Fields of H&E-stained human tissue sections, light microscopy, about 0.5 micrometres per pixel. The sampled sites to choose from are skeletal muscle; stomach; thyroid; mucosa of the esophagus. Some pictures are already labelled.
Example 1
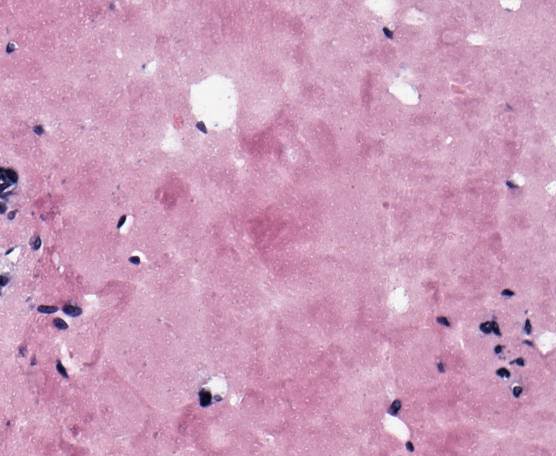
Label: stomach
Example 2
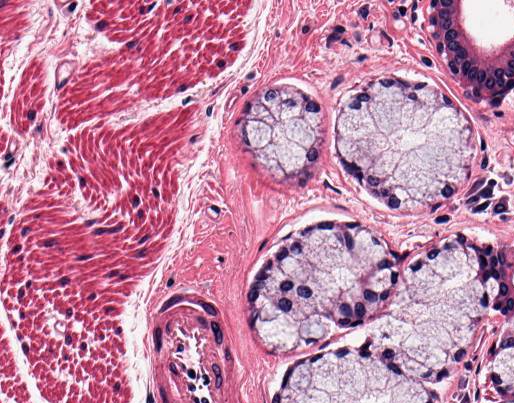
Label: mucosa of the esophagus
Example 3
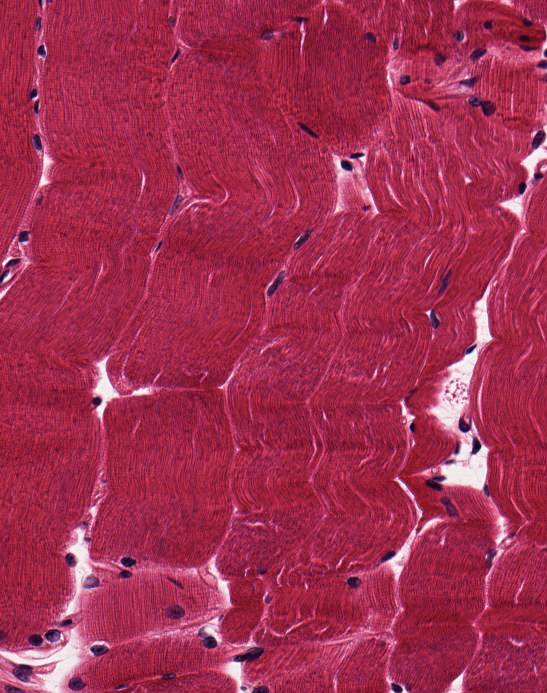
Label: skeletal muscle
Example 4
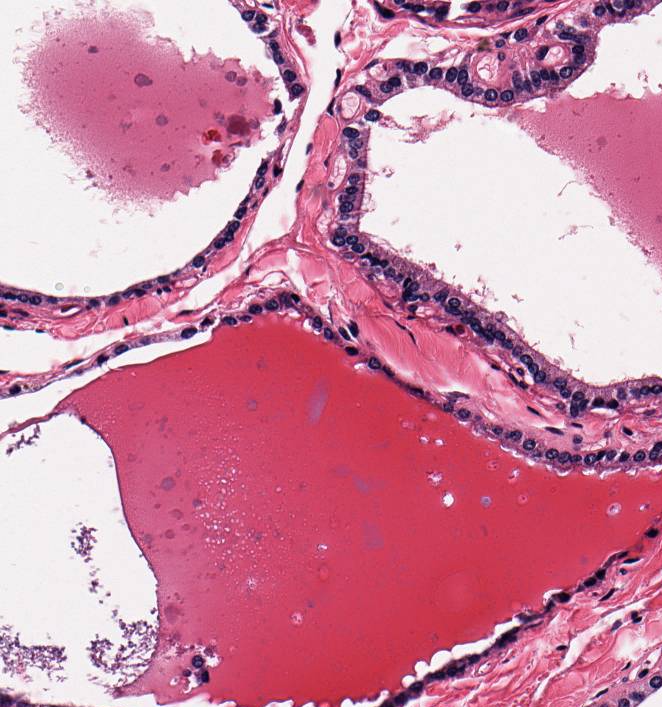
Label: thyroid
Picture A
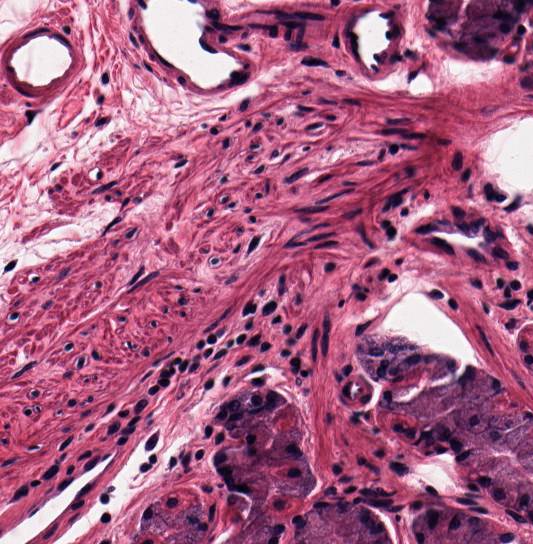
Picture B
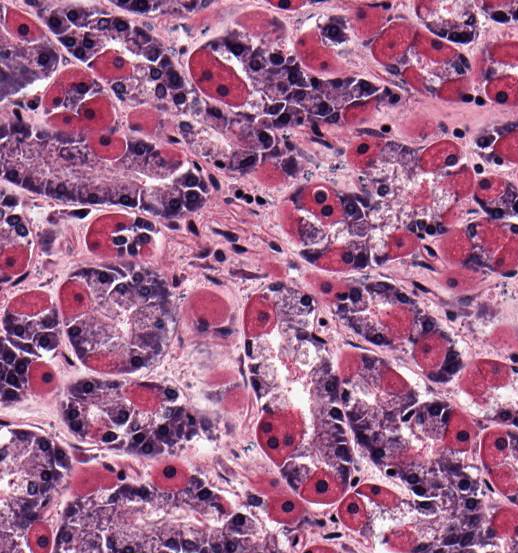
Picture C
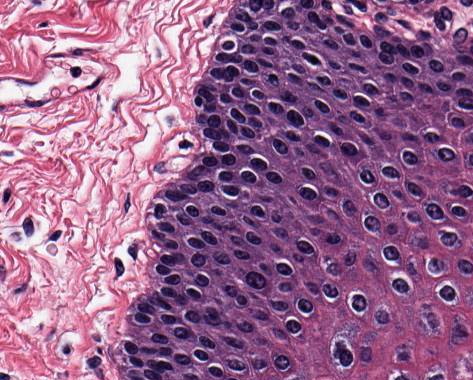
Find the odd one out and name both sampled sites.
Different: C, mucosa of the esophagus. Others: stomach.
